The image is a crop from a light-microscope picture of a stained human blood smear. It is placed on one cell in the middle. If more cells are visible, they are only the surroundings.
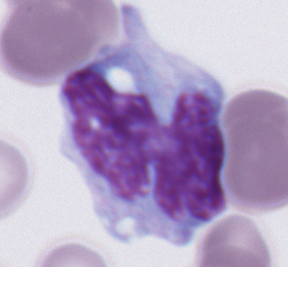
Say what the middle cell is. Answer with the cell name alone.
monocyte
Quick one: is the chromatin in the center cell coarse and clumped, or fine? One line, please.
The chromatin here is fine and lacks any coarse clumps.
